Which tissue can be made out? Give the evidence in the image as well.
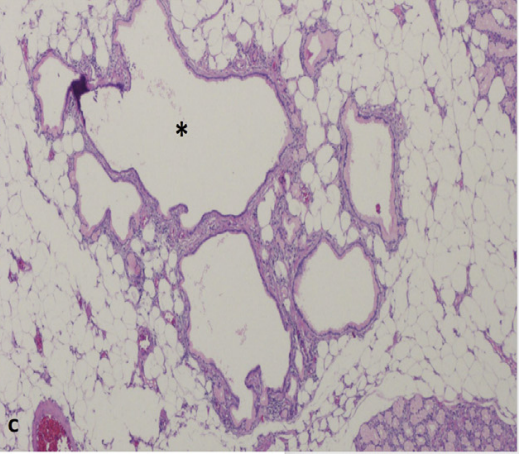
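Much of the background is filled with clear polygonal empty spaces separated by thin membranes. That points to this answer: adipose tissue.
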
